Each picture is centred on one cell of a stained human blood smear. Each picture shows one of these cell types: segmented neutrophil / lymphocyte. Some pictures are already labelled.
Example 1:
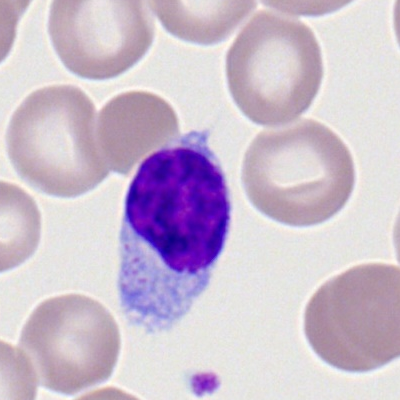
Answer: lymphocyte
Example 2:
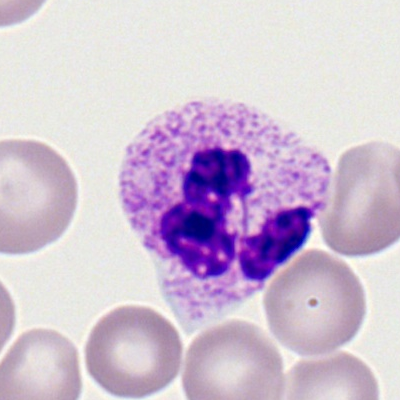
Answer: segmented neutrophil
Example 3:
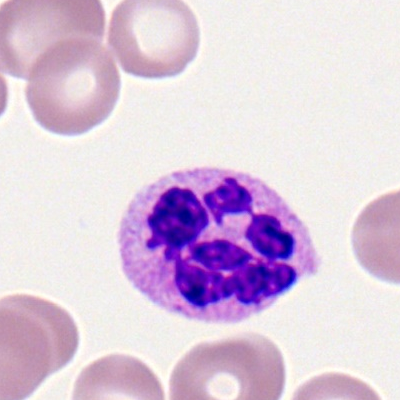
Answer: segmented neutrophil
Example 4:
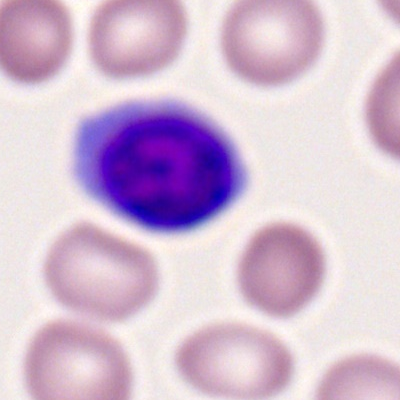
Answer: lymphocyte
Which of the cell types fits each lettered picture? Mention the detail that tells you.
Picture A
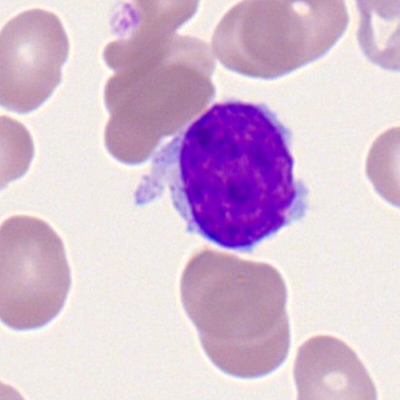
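Label: lymphocyte. The cytoplasm is scant and pale blue.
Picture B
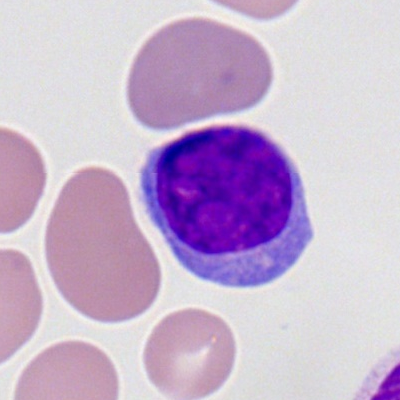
Label: lymphocyte. The nucleus fills most of the cell and sits toward its upper part.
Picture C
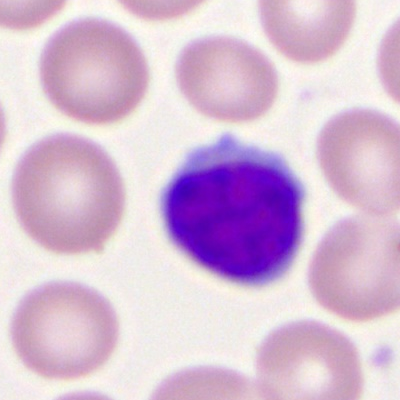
Label: lymphocyte. The cytoplasm is scant and shows mainly as a thin rim along the top edge.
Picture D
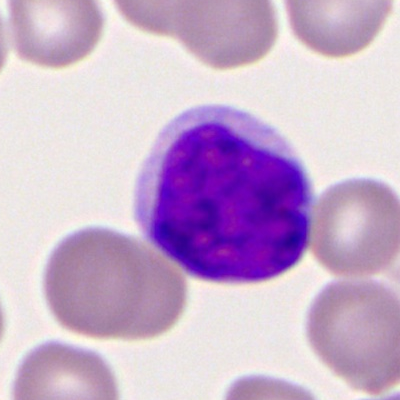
Label: lymphocyte. The cytoplasm forms only a thin rim around the nucleus.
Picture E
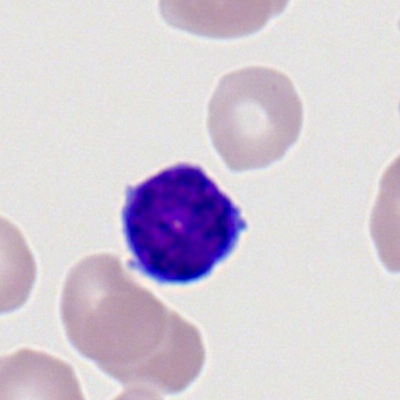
Label: lymphocyte. The nucleus fills almost the whole cell.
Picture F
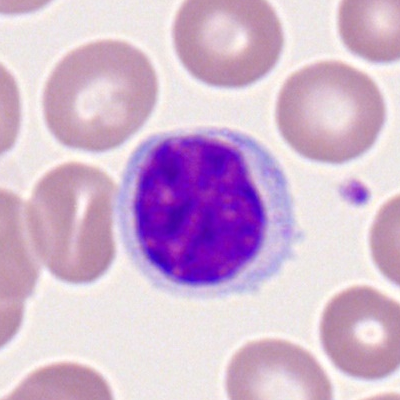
Label: lymphocyte. The nucleus fills most of the cell.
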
